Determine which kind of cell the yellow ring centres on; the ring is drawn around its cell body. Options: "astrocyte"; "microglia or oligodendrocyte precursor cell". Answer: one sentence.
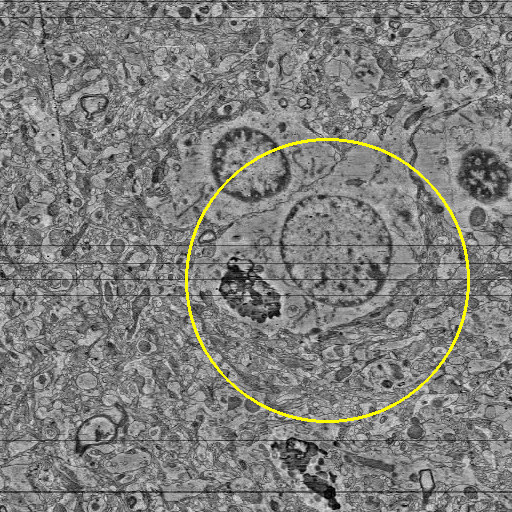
The ring centres on an astrocyte.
